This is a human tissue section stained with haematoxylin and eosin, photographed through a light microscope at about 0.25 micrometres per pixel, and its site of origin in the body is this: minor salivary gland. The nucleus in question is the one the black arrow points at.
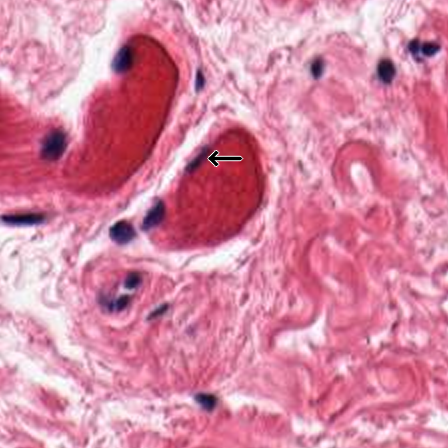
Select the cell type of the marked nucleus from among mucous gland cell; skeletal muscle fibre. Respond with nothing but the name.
skeletal muscle fibre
